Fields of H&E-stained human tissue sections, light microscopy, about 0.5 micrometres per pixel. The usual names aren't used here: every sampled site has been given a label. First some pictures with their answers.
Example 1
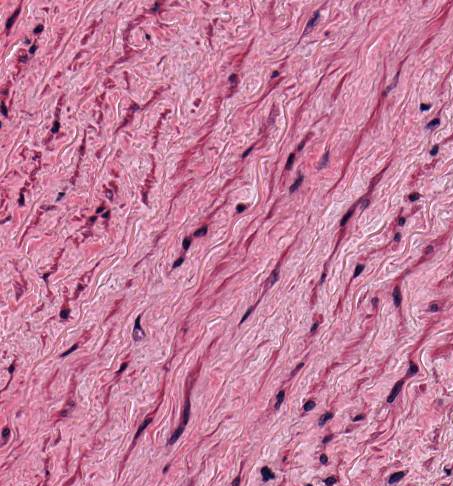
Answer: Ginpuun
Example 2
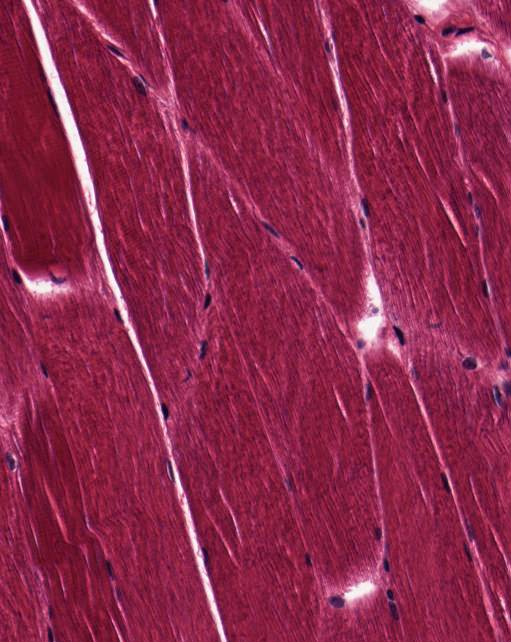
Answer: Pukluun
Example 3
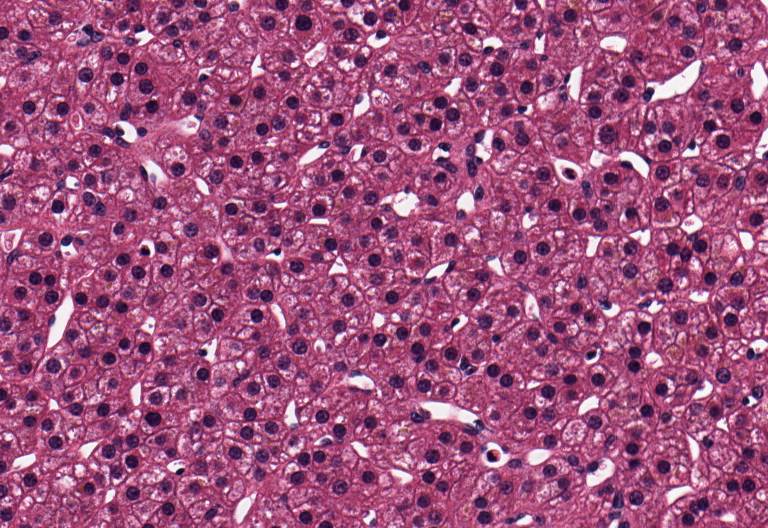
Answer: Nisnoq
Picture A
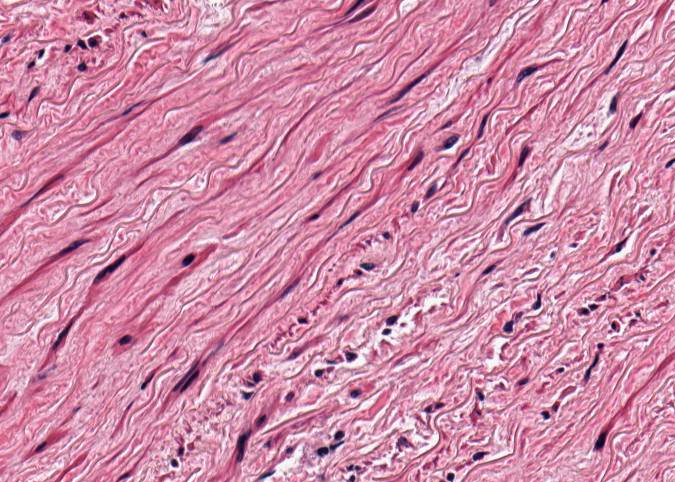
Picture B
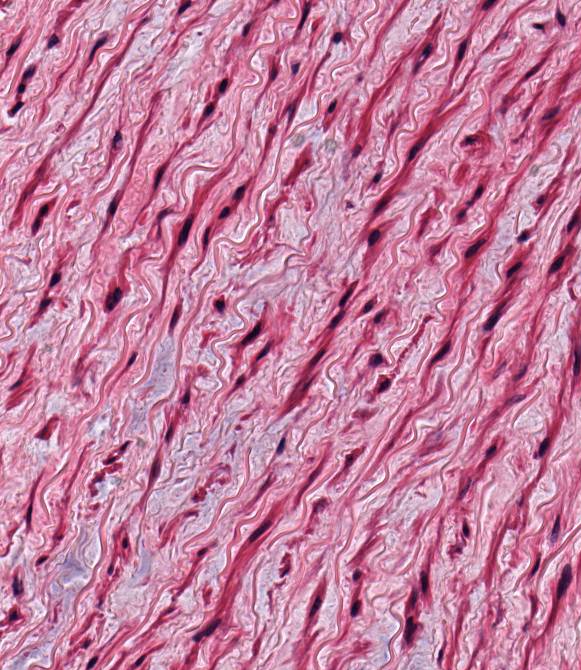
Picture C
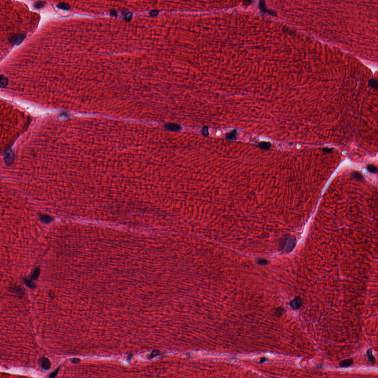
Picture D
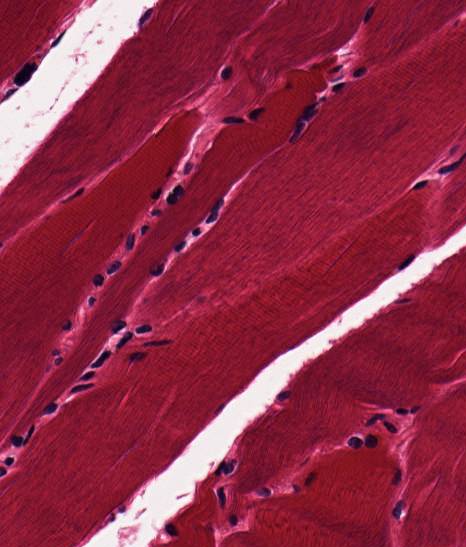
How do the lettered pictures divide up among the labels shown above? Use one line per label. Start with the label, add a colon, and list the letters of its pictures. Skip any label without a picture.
Ginpuun: A, B
Pukluun: C, D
